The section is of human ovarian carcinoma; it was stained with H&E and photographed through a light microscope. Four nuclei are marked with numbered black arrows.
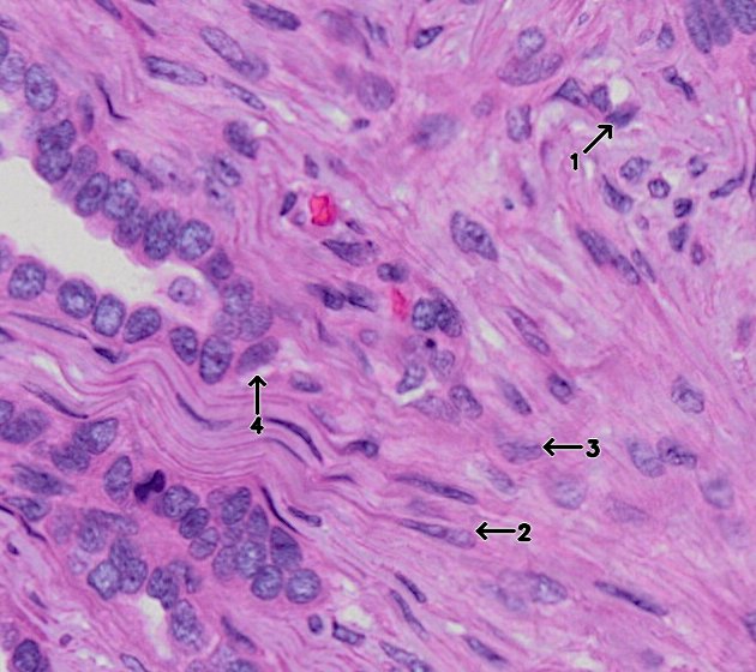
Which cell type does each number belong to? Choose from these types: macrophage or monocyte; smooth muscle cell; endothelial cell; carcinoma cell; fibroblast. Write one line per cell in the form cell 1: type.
cell 1: fibroblast
cell 2: fibroblast
cell 3: fibroblast
cell 4: carcinoma cell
